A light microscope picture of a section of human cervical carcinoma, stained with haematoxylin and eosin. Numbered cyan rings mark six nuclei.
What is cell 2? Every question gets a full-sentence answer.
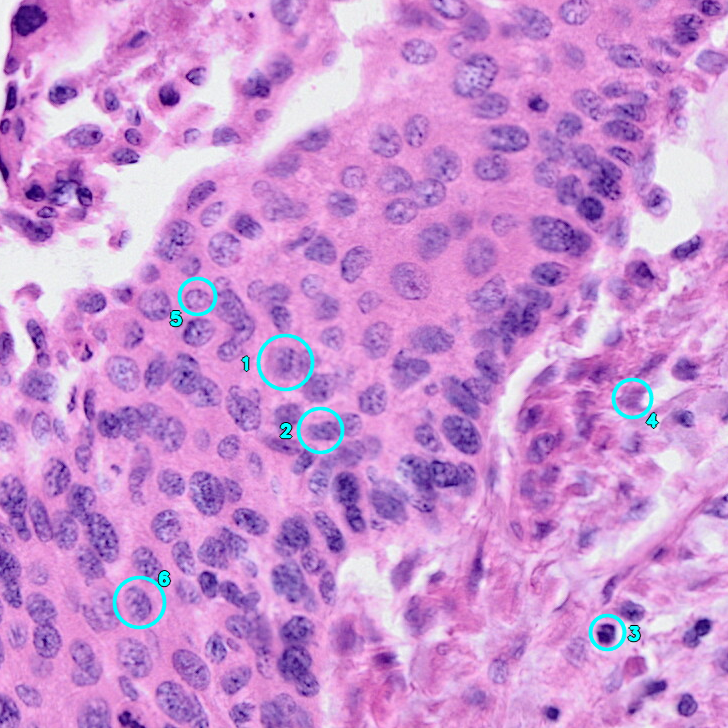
The cell identified by number 2 is a squamous carcinoma cell.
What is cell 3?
Heads up, the cell numbered 3 is a lymphocyte.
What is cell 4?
Recognised here as a fibroblast is the cell numbered 4.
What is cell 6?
The nucleus labelled 6 belongs to a squamous carcinoma cell.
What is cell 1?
Among the marked nuclei, number 1 belongs to a squamous carcinoma cell.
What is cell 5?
What the number 5 marks in this field is a squamous carcinoma cell.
